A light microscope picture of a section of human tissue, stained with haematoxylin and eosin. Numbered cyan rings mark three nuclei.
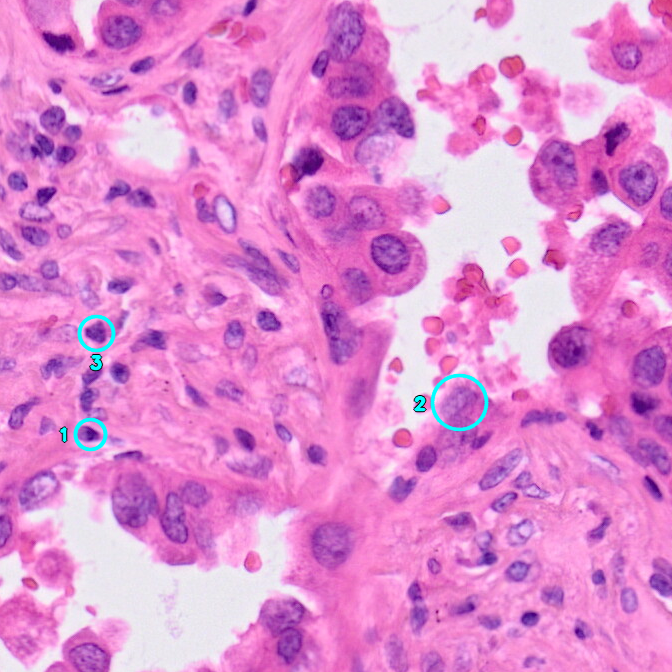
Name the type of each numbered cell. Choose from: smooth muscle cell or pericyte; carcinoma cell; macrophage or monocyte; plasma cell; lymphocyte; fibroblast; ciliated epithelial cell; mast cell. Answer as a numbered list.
1. lymphocyte
2. carcinoma cell
3. lymphocyte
